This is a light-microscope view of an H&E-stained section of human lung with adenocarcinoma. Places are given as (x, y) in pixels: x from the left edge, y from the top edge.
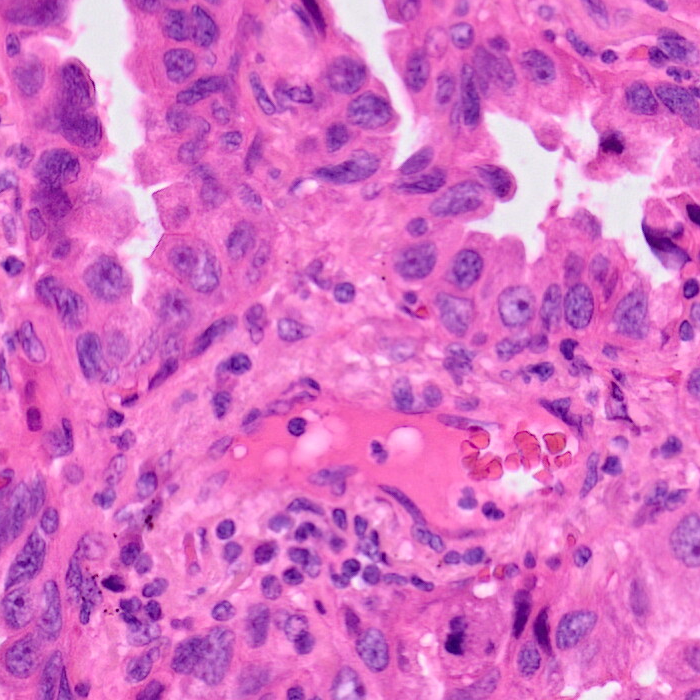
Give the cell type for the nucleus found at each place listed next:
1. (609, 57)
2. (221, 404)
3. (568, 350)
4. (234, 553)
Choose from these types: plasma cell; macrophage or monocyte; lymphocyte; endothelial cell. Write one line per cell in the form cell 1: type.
cell 1: lymphocyte
cell 2: plasma cell
cell 3: lymphocyte
cell 4: lymphocyte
